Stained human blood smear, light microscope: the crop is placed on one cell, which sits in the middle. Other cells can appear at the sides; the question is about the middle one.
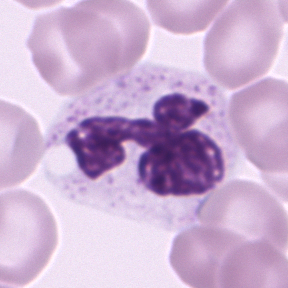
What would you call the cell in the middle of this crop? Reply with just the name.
segmented neutrophil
